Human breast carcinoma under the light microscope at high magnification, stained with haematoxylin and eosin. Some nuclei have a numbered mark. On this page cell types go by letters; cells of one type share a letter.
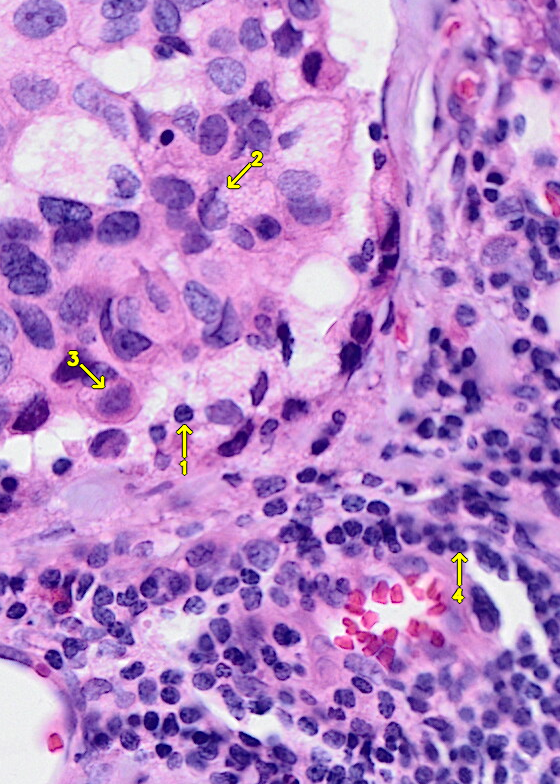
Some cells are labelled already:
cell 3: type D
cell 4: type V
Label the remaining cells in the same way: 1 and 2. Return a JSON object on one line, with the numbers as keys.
{"1": "type V", "2": "type D"}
